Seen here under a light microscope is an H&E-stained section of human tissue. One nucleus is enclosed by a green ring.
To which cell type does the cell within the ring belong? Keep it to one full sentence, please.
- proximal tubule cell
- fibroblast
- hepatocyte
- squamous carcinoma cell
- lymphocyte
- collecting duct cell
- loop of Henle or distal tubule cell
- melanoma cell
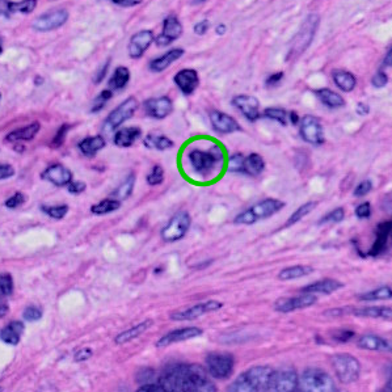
Labelled by cell type, the cell within the ring is a lymphocyte.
